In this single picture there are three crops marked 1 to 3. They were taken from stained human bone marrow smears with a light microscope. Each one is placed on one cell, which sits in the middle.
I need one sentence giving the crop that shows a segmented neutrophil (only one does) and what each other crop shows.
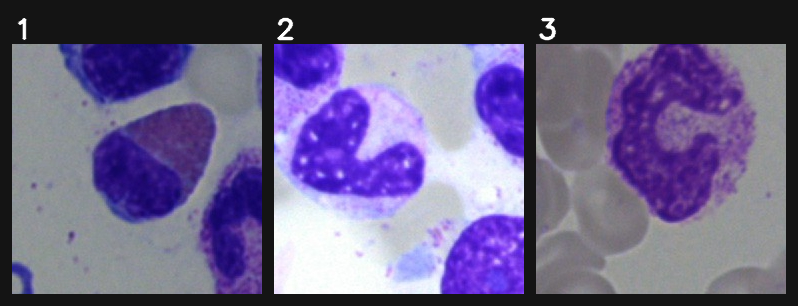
The crop labelled 3 shows a segmented neutrophil, whereas crop 1 is an eosinophil and crop 2 is a band neutrophil.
